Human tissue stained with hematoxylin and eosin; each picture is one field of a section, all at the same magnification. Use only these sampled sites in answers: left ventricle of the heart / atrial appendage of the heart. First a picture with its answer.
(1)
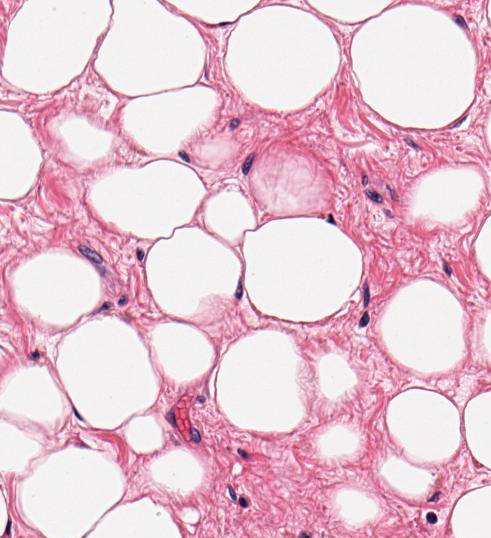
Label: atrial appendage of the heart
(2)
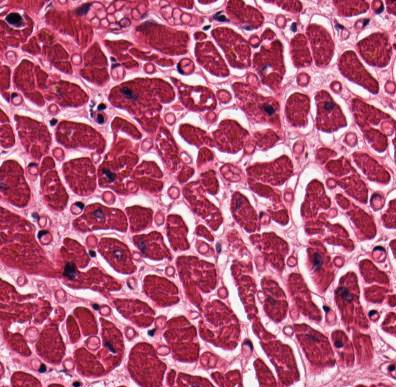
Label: left ventricle of the heart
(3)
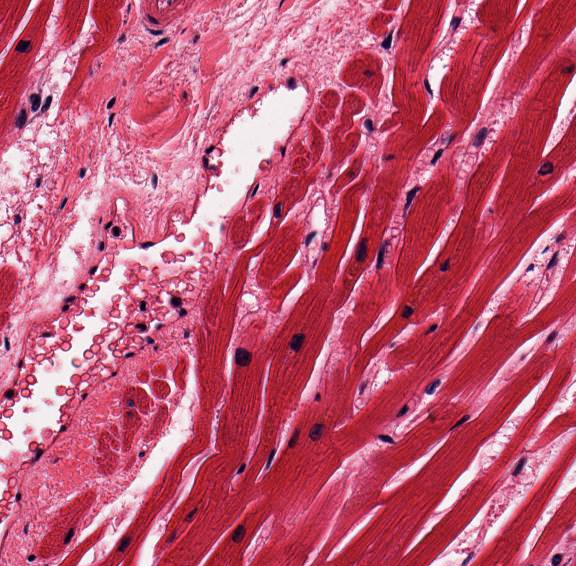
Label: left ventricle of the heart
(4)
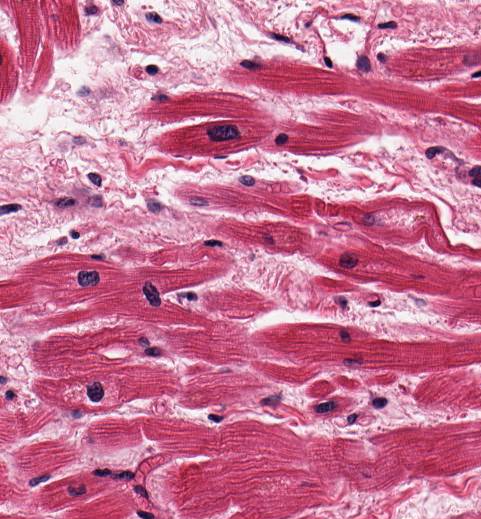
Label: atrial appendage of the heart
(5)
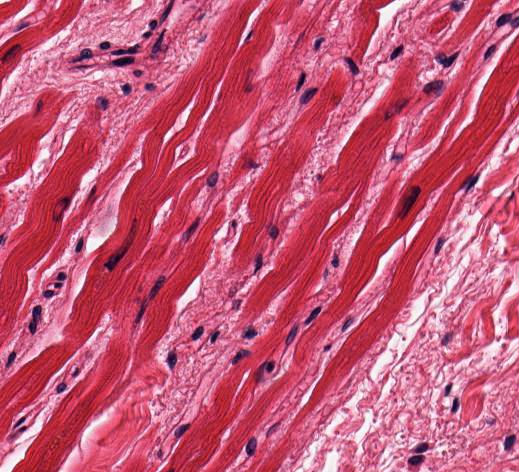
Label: atrial appendage of the heart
